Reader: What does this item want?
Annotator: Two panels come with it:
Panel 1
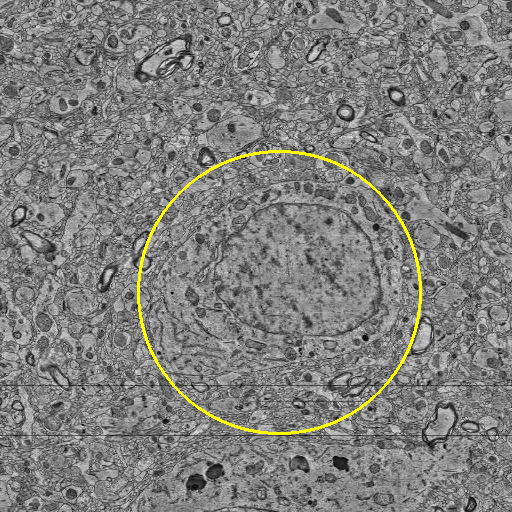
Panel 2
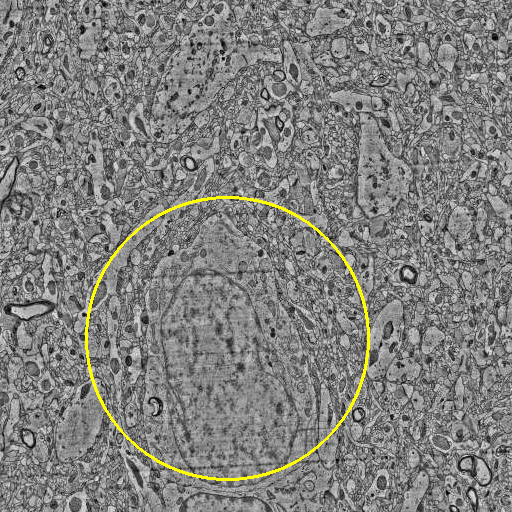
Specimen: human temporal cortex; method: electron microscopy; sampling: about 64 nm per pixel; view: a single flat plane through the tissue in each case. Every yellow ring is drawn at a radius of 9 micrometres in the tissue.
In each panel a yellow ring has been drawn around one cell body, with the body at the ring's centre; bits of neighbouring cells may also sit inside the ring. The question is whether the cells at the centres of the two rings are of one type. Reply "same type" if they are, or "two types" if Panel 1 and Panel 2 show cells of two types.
same type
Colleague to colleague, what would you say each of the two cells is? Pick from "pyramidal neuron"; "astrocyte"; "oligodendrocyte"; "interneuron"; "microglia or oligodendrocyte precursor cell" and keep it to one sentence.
Both rings mark an interneuron, one in each picture.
